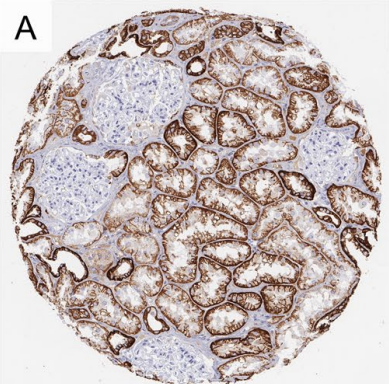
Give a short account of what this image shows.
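This is kidney cortex, with several round glomeruli standing out as pale, blue-nuclei tufts among tightly packed tubules. The tubules are lined by a single layer of cuboidal epithelial cells, and the brown stain outlines the sides and bases of these cells. Some tubules are stained intensely dark brown with crisp outlines, whereas others with fuller, paler cytoplasm show only a lighter brown. The glomeruli and the thin interstitium between tubules remain unstained blue.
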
